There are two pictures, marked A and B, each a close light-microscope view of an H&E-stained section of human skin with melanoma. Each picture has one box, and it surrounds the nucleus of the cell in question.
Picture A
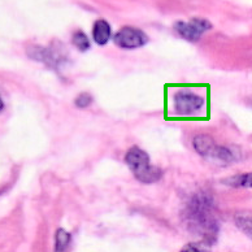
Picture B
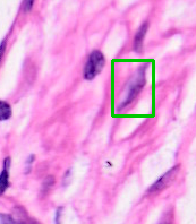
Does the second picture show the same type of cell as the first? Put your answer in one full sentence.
No, the types are not the same, since picture A shows a lymphocyte and picture B a “fibroblast or myofibroblast”.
